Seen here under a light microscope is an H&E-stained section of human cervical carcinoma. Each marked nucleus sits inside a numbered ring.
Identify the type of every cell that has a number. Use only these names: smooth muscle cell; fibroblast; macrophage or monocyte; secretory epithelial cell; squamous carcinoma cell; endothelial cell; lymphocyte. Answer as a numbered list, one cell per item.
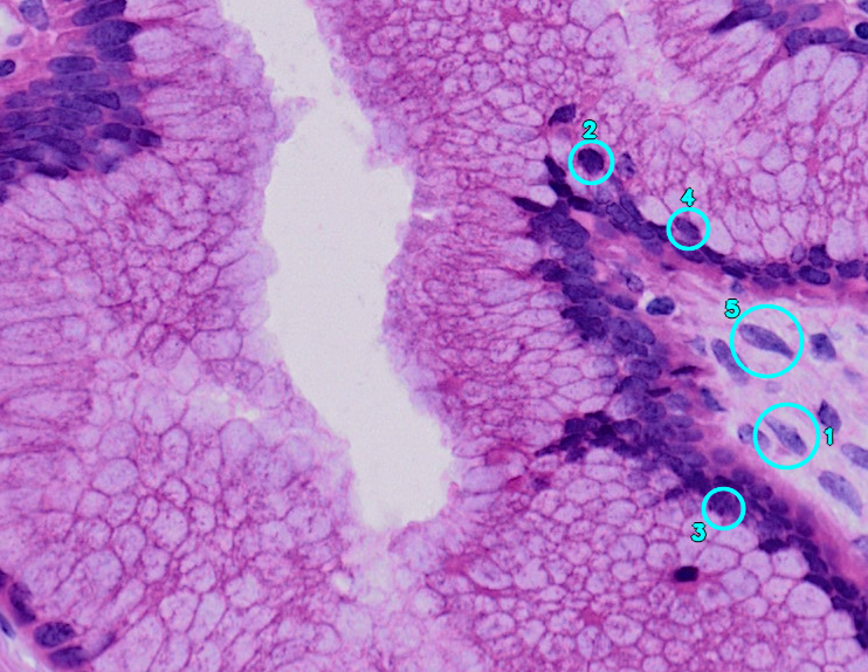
1. fibroblast
2. secretory epithelial cell
3. secretory epithelial cell
4. secretory epithelial cell
5. fibroblast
